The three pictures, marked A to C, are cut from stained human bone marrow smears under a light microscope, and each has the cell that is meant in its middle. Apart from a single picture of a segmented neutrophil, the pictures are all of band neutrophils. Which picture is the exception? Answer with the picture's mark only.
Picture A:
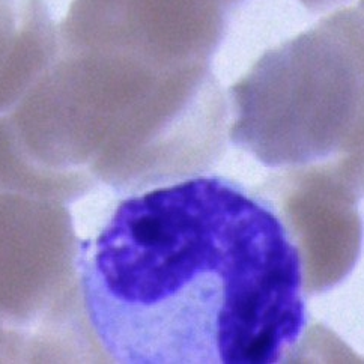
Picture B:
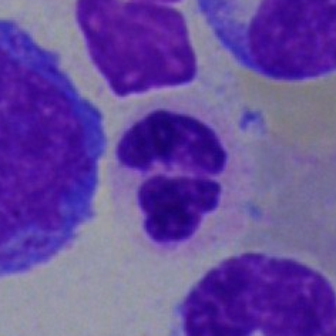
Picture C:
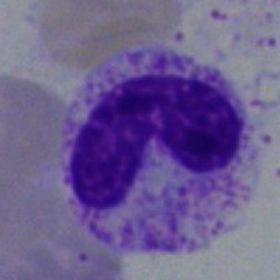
B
